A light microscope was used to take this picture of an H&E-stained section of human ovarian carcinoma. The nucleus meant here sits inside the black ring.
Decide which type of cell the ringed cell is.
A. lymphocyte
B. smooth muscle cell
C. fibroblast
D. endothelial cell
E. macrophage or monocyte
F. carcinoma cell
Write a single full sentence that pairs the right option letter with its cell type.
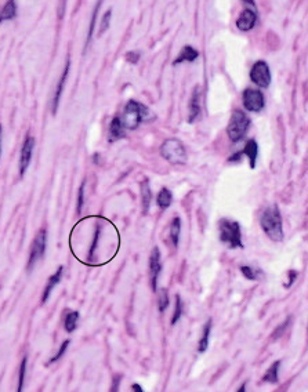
The choice that fits is option C, as the ringed cell is a fibroblast.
